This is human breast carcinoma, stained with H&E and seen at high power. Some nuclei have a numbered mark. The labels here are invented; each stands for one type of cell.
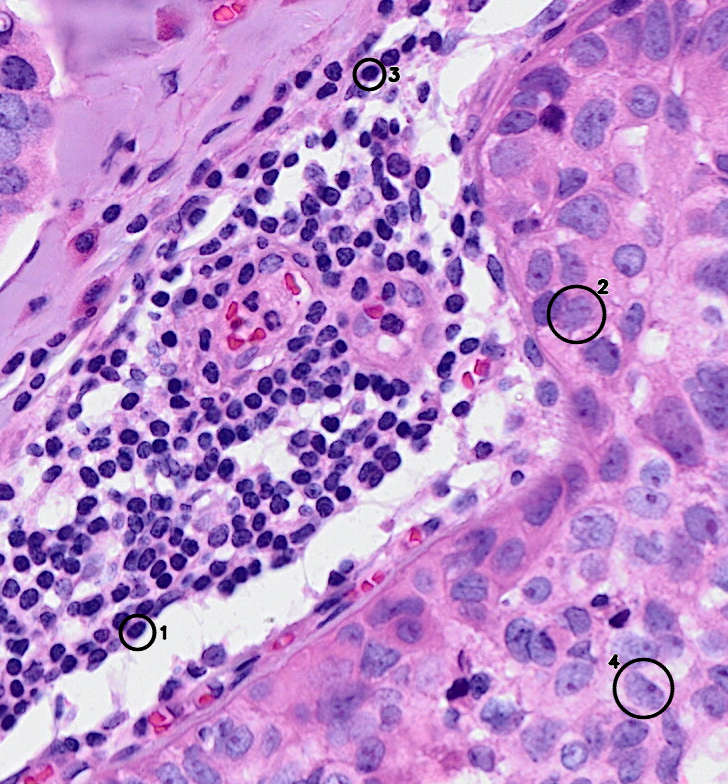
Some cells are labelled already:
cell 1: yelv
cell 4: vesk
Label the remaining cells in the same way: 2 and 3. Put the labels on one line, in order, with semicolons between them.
vesk; yelv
